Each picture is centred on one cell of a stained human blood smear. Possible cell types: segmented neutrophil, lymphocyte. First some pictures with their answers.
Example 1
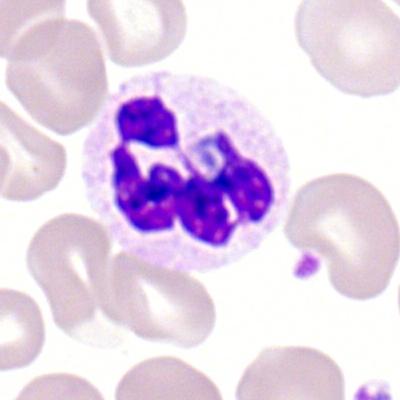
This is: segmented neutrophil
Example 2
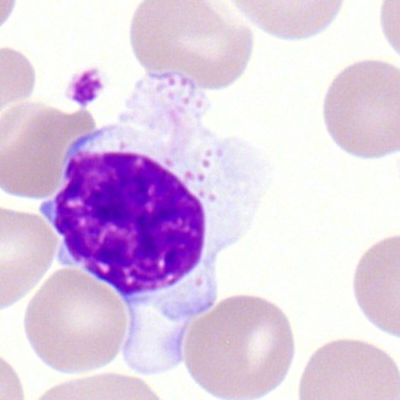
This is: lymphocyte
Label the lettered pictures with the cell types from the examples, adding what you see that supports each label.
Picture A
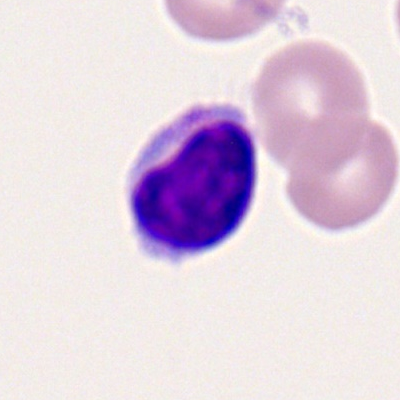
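lymphocyte: The cytoplasm is a thin rim that is widest along the upper-left side of the nucleus.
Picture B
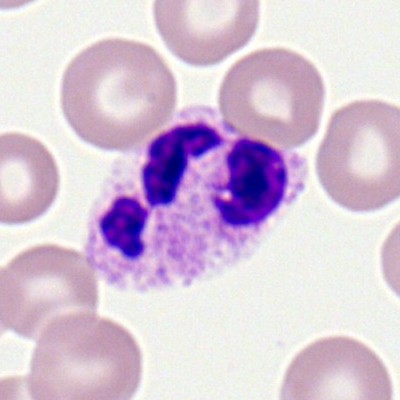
segmented neutrophil: The nucleus is divided into three separate lobes.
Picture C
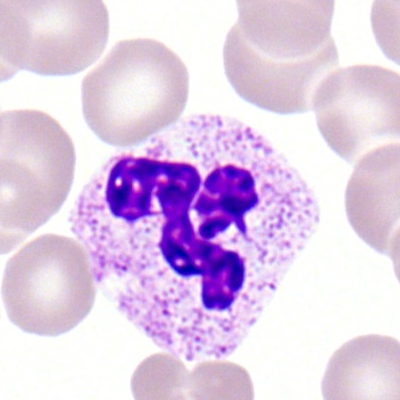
segmented neutrophil: The cytoplasm is plentiful and pale pinkish-lilac.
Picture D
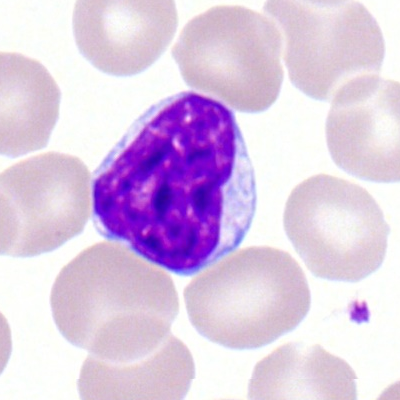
lymphocyte: The nucleus fills most of the cell.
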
